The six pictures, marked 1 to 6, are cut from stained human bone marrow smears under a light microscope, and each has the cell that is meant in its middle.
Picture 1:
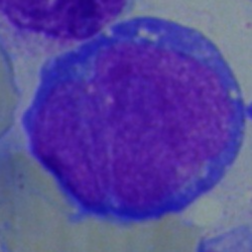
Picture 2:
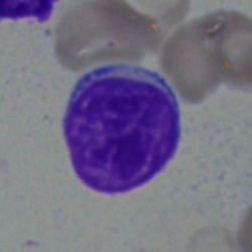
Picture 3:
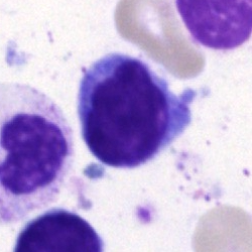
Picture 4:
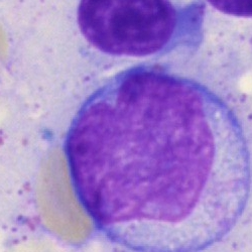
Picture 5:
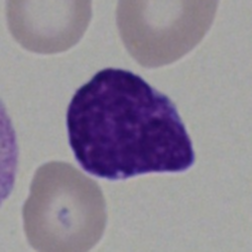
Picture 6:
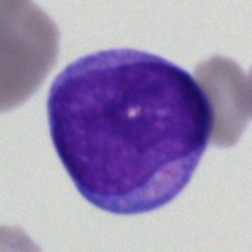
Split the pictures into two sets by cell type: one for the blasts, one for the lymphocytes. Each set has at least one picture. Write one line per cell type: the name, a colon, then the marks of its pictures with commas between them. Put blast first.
blast: 1, 4, 5, 6
lymphocyte: 2, 3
